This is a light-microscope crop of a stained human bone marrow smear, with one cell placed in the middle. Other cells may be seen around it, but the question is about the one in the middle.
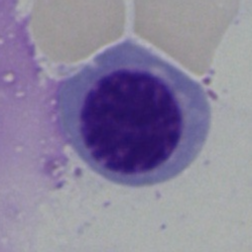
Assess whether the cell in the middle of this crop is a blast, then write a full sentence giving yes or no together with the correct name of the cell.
No, not a blast here; the centered cell is an erythroblast.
